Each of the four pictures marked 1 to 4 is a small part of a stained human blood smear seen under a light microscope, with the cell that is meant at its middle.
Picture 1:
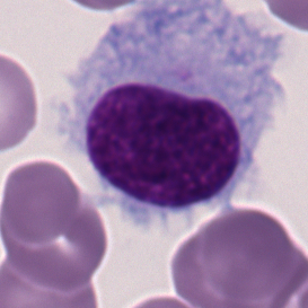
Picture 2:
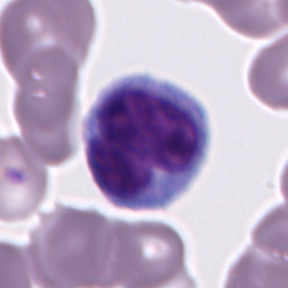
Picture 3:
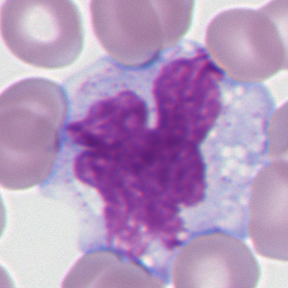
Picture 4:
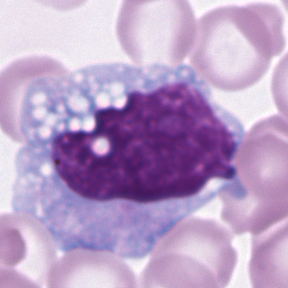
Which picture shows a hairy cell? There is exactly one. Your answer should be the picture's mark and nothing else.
1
